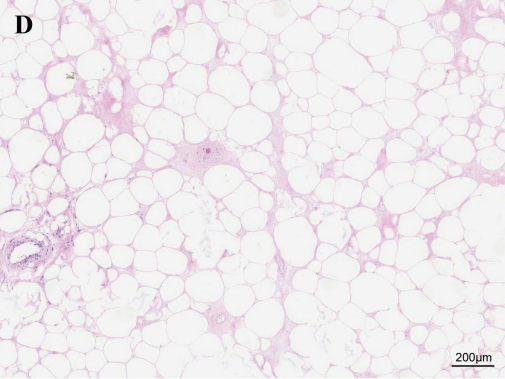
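Adipose tissue with relatively normal adipocyte morphology. Large, empty-looking, polygonal to rounded fat cells are packed closely, each bounded by a thin pink membrane, giving a honeycomb pattern. Nuclei are very sparse and flattened at the cell edges. Between some cells lie small patches of pale pink, loose stroma, and at the lower left a small blood vessel with a purple-nucleated wall sits among the fat cells. Cell sizes vary somewhat, but septa stay thin and there is little dense fibrous tissue or cellular infiltrate.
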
